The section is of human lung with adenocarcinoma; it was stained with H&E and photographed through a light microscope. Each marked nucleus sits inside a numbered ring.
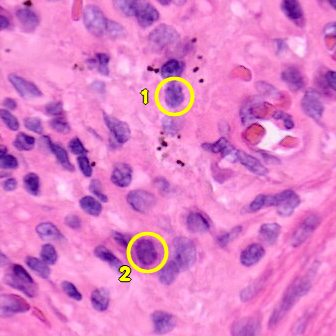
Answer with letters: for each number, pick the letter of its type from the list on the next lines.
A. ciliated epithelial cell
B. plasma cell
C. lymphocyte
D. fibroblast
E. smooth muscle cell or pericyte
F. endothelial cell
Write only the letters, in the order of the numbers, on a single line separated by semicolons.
C; B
